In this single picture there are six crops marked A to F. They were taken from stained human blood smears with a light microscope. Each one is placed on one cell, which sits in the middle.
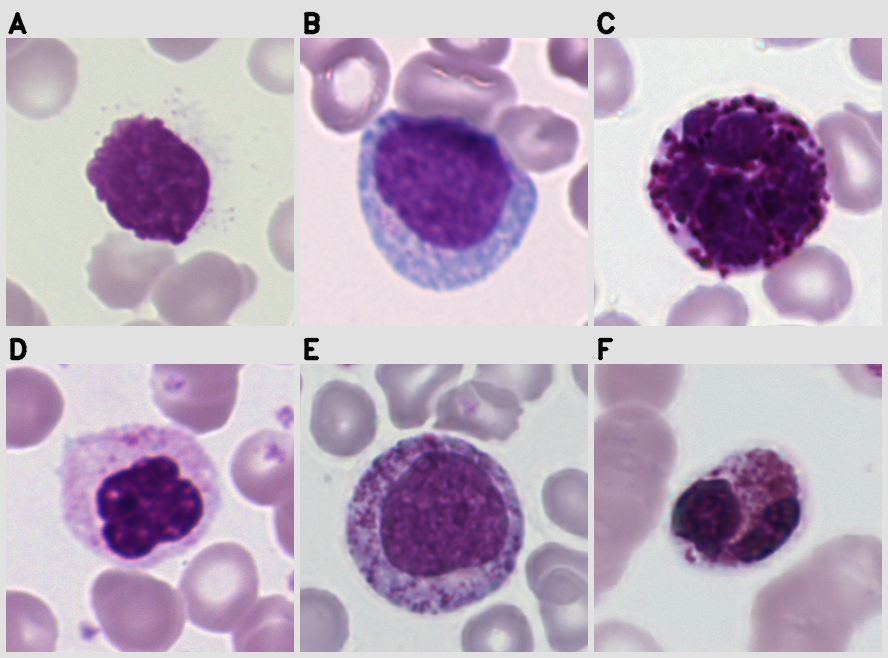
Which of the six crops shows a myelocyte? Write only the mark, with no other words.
E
